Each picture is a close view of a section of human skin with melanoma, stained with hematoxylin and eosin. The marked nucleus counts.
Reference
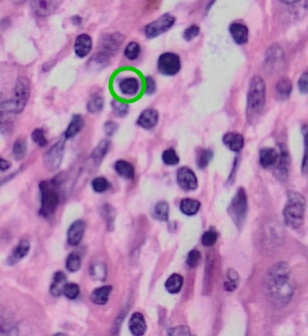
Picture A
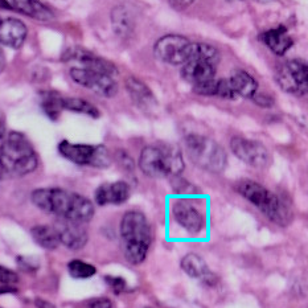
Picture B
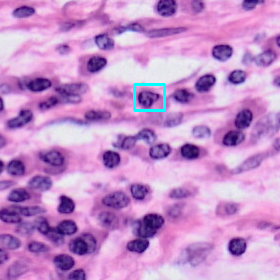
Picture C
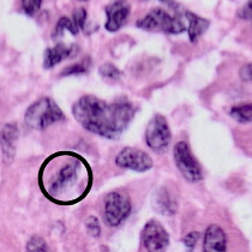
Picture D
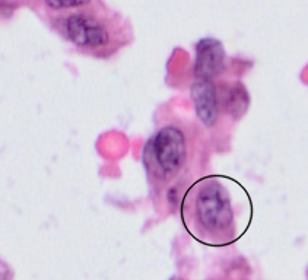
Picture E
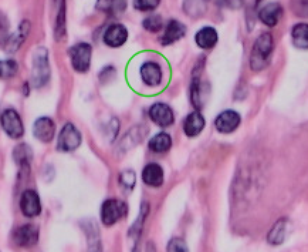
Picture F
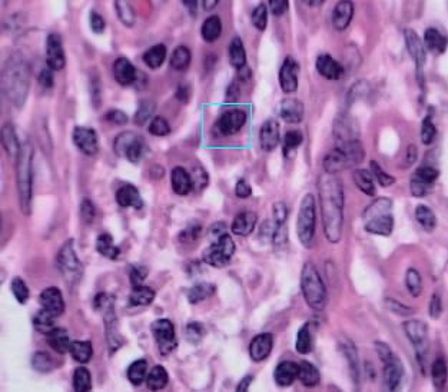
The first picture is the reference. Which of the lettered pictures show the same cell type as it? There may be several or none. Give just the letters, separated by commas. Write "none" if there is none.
E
